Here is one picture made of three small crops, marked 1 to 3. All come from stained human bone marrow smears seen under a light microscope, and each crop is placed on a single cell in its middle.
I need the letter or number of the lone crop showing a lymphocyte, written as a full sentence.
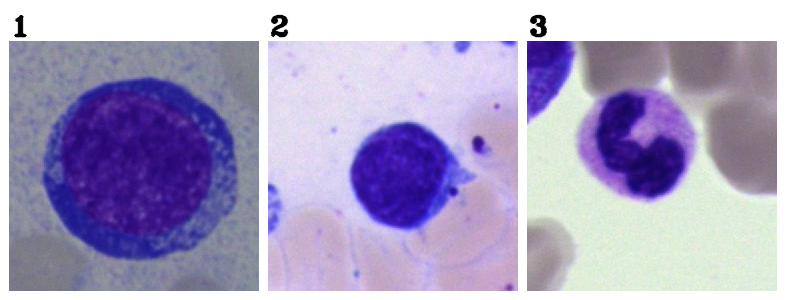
As for which crop shows a lymphocyte, it is crop 2.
